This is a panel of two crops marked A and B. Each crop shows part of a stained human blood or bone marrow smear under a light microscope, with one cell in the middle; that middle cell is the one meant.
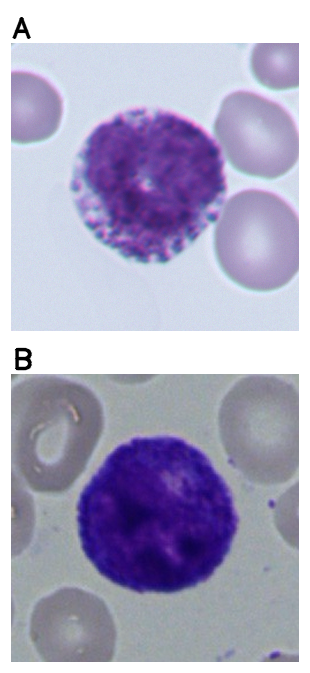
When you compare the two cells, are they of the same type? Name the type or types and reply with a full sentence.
No, it is a basophil that crop A shows, and a promyelocyte that crop B shows.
